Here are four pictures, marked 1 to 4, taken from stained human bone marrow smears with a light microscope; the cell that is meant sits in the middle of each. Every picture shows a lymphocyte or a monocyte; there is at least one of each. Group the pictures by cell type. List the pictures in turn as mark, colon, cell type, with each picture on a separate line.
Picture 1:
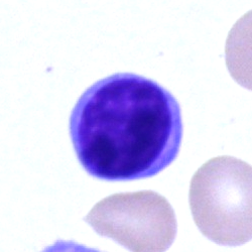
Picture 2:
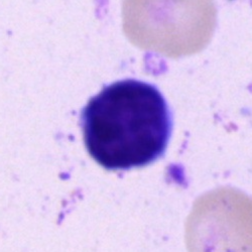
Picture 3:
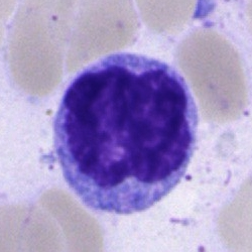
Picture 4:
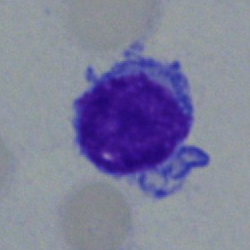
1: lymphocyte
2: lymphocyte
3: monocyte
4: lymphocyte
